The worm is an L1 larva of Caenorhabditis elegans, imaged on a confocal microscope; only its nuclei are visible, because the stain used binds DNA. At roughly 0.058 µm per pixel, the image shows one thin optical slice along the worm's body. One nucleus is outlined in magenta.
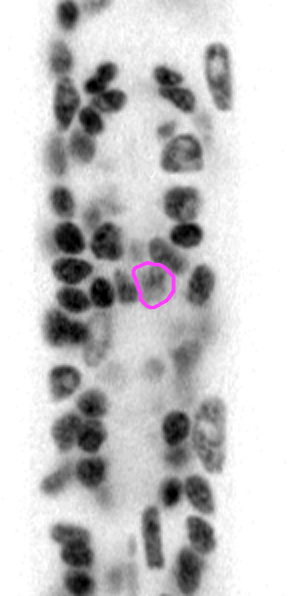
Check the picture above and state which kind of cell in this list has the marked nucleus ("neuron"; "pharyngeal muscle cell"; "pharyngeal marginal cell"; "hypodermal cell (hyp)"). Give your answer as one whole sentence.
This is the nucleus of a pharyngeal marginal cell.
